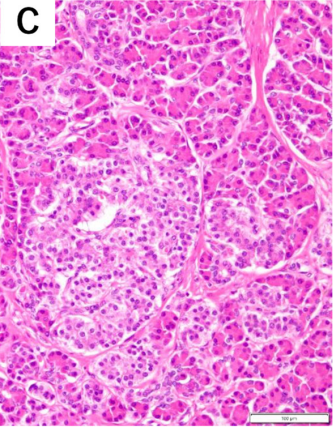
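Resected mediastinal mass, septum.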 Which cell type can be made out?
Pancreatic acini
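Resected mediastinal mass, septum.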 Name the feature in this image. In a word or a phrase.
islets of Langerhans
